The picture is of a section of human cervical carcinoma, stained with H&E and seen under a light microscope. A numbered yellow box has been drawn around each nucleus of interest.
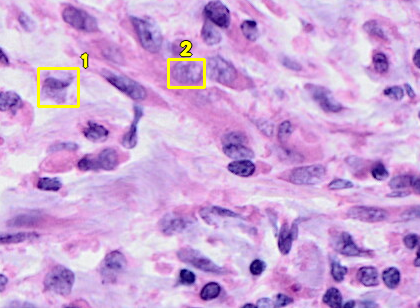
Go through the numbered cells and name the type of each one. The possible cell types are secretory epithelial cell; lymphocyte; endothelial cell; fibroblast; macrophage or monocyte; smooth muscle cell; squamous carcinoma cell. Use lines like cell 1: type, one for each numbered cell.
cell 1: fibroblast
cell 2: endothelial cell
